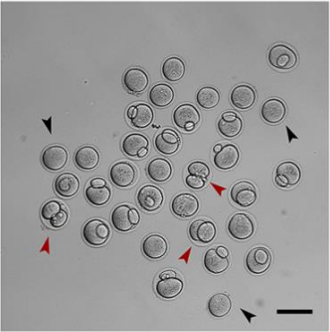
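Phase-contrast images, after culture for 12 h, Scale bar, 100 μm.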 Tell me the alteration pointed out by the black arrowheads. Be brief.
Oocytes that failed to extrude a polar body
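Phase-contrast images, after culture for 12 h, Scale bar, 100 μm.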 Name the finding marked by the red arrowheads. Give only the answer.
Oocytes with an apparently large polar body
